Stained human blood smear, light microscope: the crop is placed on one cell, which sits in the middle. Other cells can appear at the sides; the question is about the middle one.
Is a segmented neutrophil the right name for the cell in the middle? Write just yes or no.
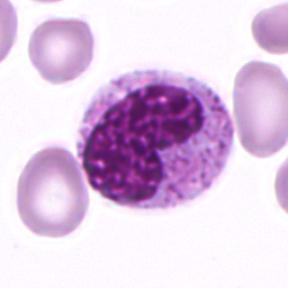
no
